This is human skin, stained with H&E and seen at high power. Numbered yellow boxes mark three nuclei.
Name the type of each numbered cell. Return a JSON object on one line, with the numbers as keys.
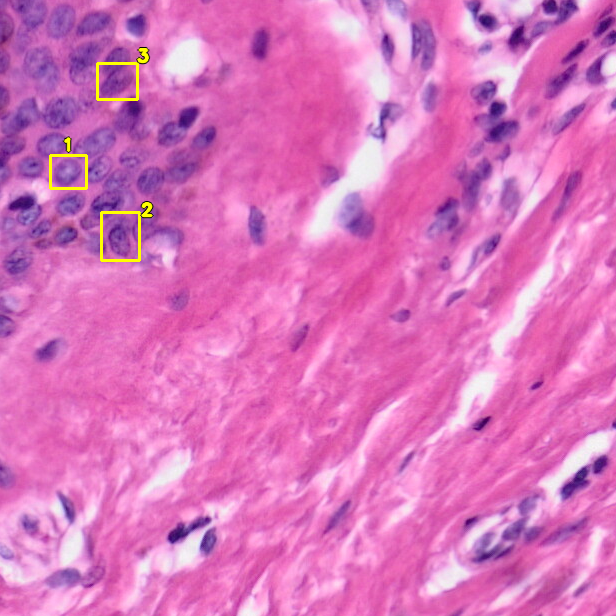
{"1": "suprabasal keratinocyte", "2": "basal keratinocyte", "3": "basal keratinocyte"}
